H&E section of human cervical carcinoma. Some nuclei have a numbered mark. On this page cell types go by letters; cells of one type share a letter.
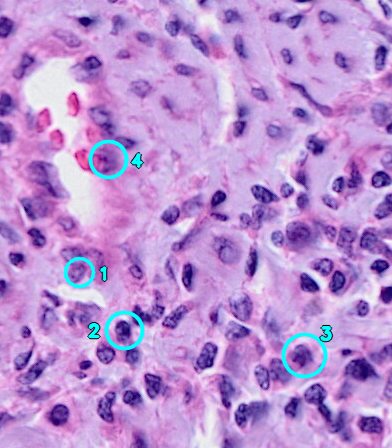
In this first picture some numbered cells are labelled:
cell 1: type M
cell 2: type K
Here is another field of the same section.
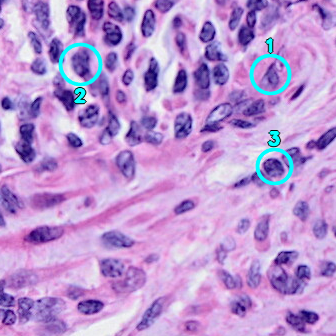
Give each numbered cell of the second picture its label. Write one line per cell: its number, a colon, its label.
1: type M
2: type K
3: type K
